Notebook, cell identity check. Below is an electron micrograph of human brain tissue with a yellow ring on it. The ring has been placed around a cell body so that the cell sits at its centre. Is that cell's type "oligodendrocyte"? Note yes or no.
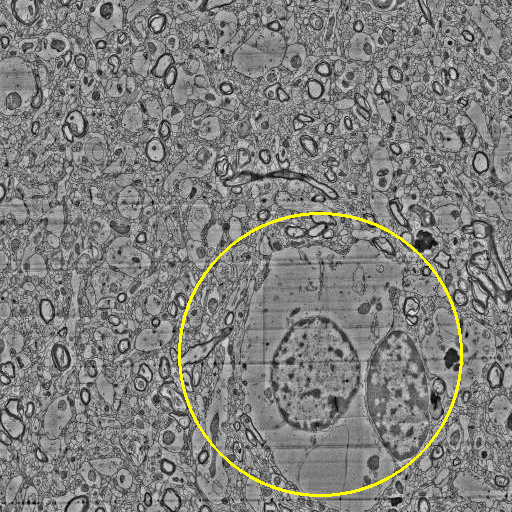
No, its cell type is another one.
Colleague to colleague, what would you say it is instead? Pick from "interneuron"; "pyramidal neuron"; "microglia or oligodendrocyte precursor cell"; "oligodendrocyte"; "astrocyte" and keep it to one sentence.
Sitting at the ring centre is an astrocyte.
